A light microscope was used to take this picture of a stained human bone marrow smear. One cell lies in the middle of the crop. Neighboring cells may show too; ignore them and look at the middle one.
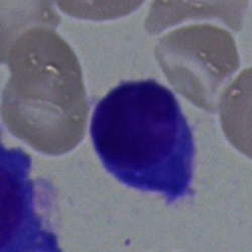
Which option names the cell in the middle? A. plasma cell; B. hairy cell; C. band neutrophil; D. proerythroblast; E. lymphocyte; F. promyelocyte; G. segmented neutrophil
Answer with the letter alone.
A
